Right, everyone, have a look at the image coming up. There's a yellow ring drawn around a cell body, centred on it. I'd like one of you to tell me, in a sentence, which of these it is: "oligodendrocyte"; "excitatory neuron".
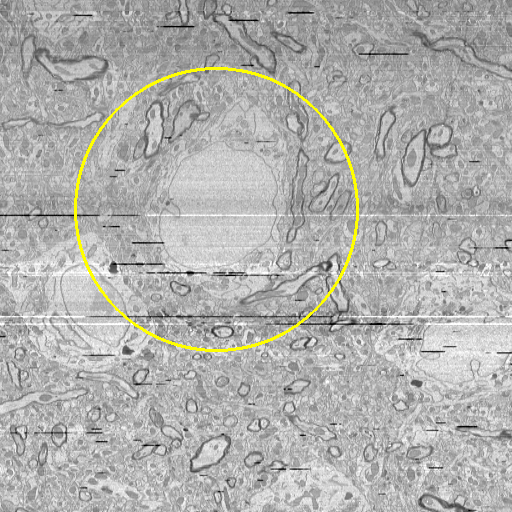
The yellow ring sits on an excitatory neuron.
